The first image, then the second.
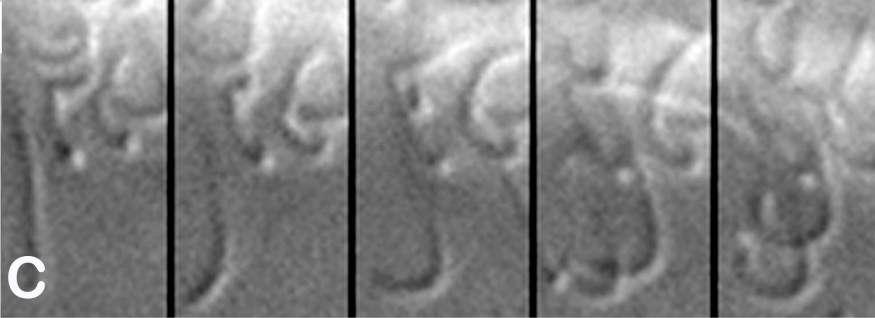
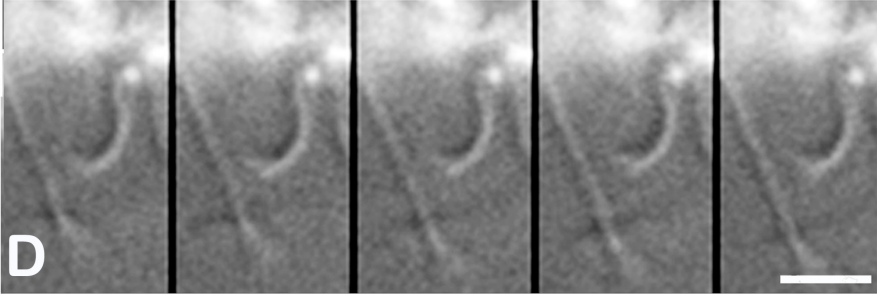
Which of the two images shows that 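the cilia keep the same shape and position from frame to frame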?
The second image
